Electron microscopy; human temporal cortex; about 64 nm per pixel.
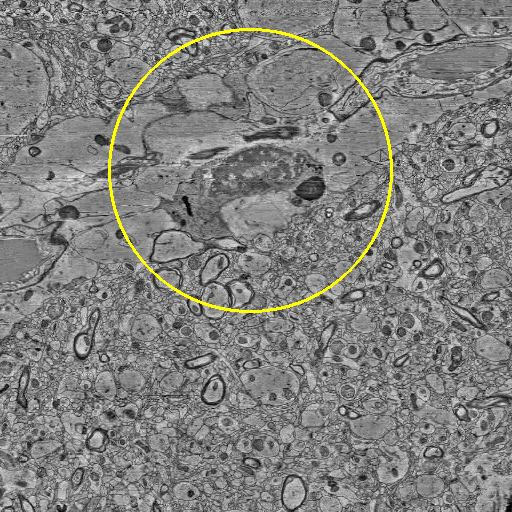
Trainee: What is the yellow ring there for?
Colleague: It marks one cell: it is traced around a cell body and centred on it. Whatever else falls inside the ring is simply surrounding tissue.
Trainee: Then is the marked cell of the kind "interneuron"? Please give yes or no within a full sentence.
No, the marked cell at the centre of the yellow ring is of a different kind.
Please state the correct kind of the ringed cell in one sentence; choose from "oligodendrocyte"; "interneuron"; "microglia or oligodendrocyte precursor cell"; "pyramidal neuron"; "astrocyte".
Instead, the cell at the centre of the yellow ring is an oligodendrocyte.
